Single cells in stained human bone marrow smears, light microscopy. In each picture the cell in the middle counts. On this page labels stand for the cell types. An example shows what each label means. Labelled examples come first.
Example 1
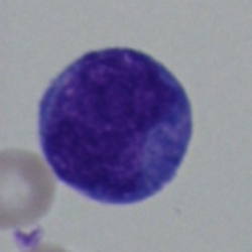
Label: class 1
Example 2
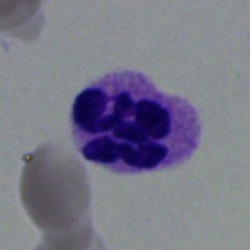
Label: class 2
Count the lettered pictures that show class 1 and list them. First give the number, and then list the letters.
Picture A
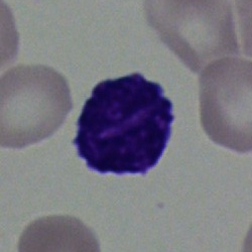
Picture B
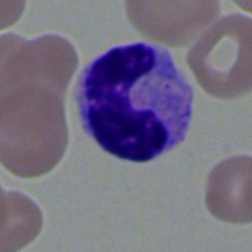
1, namely A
